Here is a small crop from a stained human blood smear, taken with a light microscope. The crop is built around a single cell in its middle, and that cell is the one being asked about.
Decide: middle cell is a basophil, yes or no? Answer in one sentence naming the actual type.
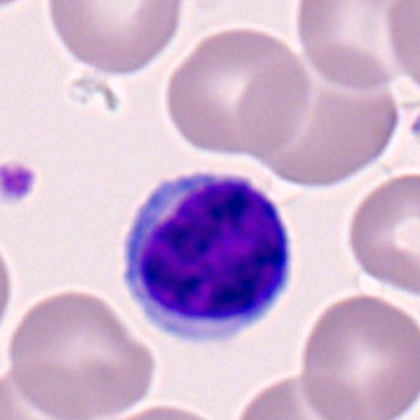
No, the central cell qualifies as a lymphocyte rather than as a basophil.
